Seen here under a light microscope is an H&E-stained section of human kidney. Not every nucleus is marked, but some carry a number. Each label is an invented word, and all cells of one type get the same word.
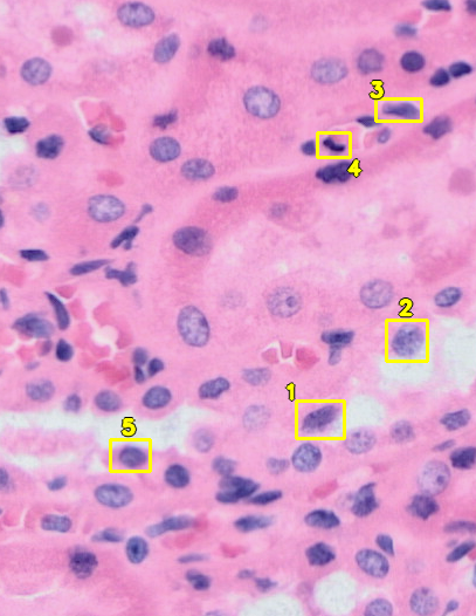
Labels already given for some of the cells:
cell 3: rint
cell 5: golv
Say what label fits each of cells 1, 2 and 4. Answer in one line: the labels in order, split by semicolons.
golv; golv; rint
